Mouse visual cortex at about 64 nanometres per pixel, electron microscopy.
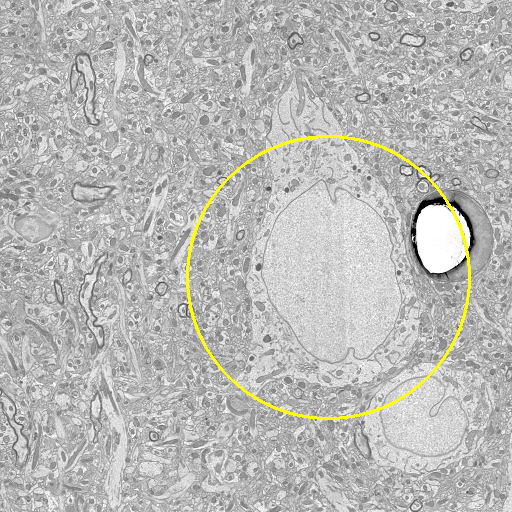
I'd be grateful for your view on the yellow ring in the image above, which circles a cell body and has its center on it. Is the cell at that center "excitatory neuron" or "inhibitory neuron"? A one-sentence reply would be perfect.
The cell at the center of the yellow ring is an excitatory neuron.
